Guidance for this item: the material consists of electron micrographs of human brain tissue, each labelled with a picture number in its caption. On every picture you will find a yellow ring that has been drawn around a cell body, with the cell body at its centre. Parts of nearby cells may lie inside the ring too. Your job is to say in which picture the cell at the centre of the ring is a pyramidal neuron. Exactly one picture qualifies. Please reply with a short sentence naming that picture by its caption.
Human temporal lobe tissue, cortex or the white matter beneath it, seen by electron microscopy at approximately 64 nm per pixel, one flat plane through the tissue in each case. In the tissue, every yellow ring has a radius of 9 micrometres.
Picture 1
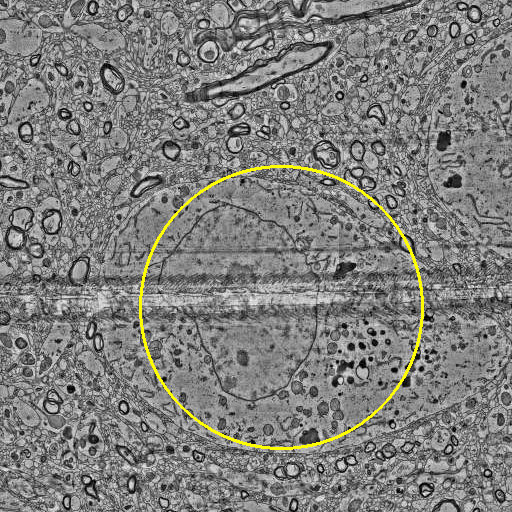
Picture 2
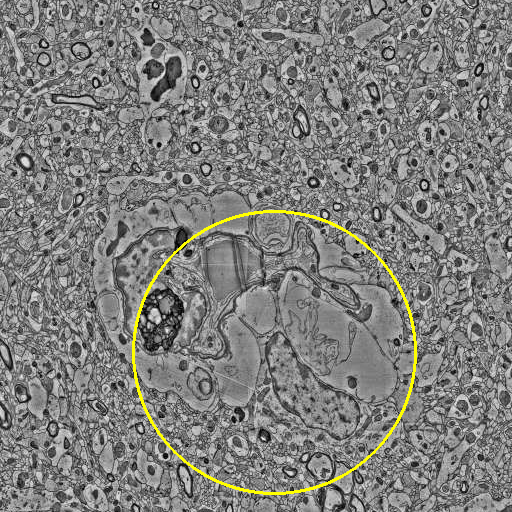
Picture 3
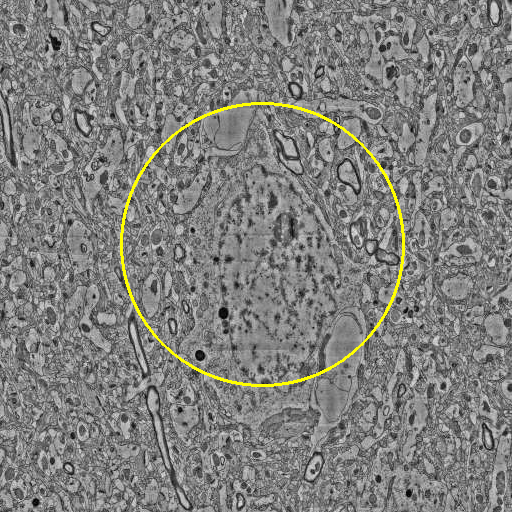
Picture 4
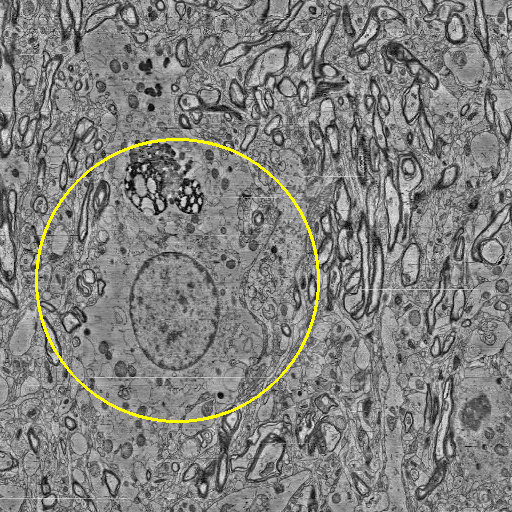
Picture 1 shows it at the centre of the ring.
